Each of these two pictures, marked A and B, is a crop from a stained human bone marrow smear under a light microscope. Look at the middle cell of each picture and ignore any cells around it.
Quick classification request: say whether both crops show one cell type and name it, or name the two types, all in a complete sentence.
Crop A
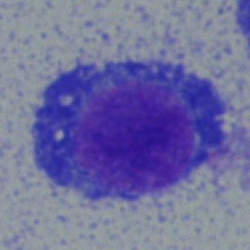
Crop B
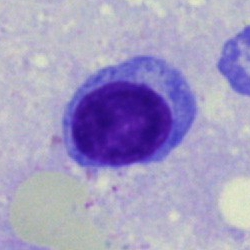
No, whereas crop A shows a plasma cell, crop B shows a lymphocyte.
